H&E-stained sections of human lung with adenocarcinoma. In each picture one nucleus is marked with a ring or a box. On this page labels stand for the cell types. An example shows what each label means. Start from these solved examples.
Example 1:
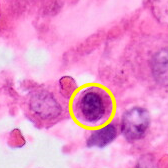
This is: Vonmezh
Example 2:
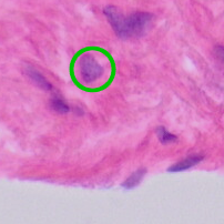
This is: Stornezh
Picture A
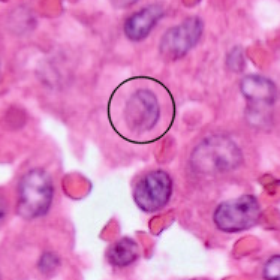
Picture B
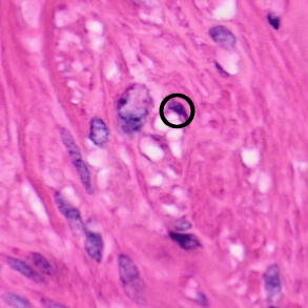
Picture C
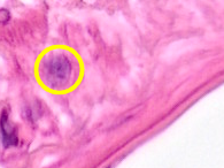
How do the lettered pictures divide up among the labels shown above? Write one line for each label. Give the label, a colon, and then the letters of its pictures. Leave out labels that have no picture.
Vonmezh: A
Stornezh: B, C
